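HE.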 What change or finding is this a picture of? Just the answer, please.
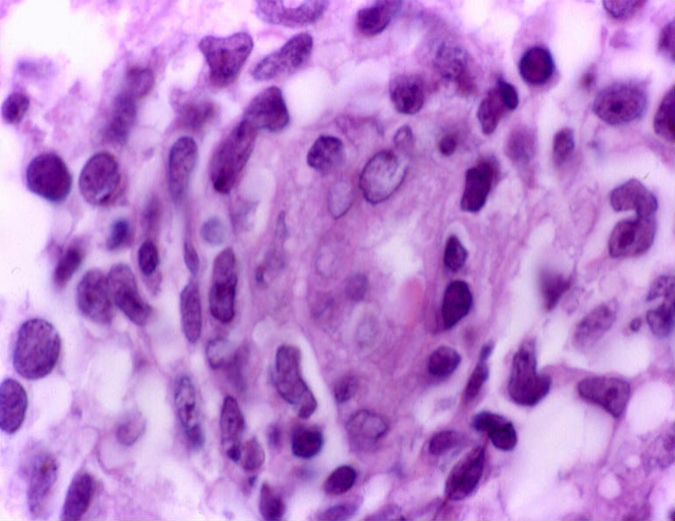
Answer: prominence of endothelial cells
